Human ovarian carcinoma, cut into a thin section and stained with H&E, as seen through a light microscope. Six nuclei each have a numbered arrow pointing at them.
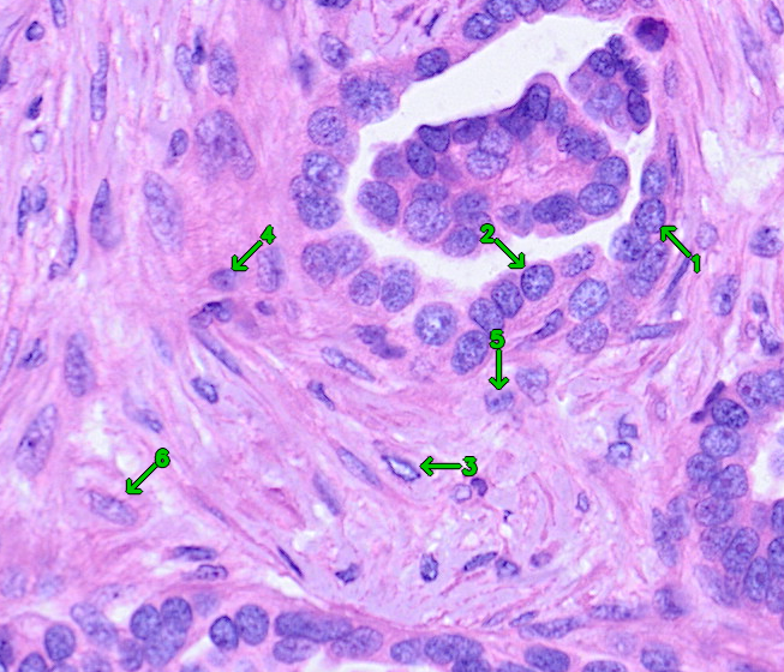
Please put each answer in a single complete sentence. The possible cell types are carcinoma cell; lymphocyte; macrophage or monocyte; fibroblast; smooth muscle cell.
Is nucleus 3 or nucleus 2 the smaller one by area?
With nucleus 2 about 1.5 times its size, nucleus 3 is the smaller of the two.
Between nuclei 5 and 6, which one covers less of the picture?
Number 5 is smaller, since number 6 takes up about 2 times as much area.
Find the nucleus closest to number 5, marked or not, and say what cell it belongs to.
It is a fibroblast whose nucleus is nearest to number 5.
